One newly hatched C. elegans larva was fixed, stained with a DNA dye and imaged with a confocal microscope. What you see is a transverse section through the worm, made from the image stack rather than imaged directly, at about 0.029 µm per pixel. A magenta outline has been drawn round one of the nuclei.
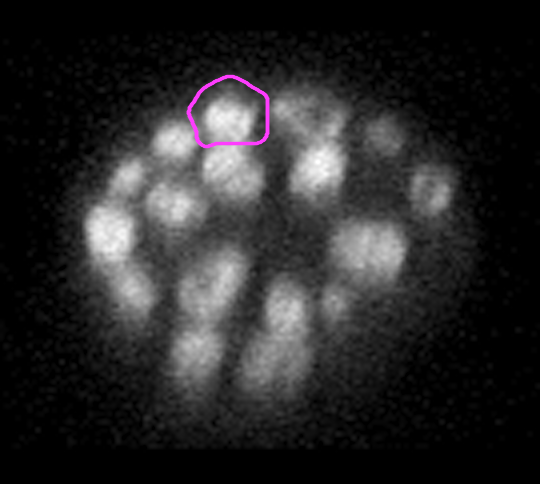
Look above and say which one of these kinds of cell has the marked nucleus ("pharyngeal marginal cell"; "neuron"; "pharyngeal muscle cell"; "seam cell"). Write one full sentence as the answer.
The cell with the marked nucleus is a neuron.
